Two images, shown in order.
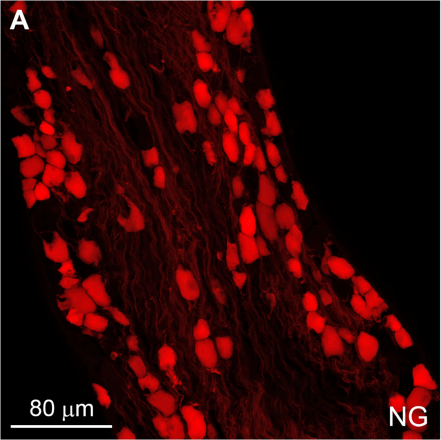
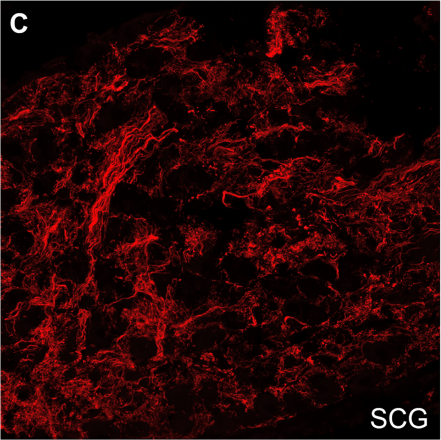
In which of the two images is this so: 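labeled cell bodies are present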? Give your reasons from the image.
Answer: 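The first image. Second image: only a meshwork of thin red fibers, no filled cell bodies. First image: many large filled red cell bodies between fiber bundles.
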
